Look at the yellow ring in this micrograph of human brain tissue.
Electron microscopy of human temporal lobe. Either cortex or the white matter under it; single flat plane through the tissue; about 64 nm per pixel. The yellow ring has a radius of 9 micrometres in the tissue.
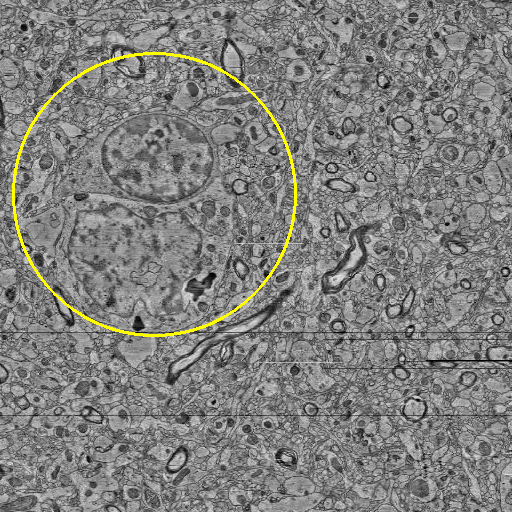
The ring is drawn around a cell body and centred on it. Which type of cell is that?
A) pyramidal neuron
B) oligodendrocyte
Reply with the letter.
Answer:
B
